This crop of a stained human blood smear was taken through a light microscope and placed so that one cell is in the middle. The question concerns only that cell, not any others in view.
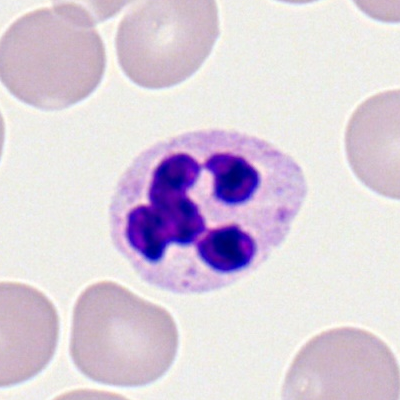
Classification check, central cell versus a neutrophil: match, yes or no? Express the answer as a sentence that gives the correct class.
Yes, the middle cell in this crop is a neutrophil.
